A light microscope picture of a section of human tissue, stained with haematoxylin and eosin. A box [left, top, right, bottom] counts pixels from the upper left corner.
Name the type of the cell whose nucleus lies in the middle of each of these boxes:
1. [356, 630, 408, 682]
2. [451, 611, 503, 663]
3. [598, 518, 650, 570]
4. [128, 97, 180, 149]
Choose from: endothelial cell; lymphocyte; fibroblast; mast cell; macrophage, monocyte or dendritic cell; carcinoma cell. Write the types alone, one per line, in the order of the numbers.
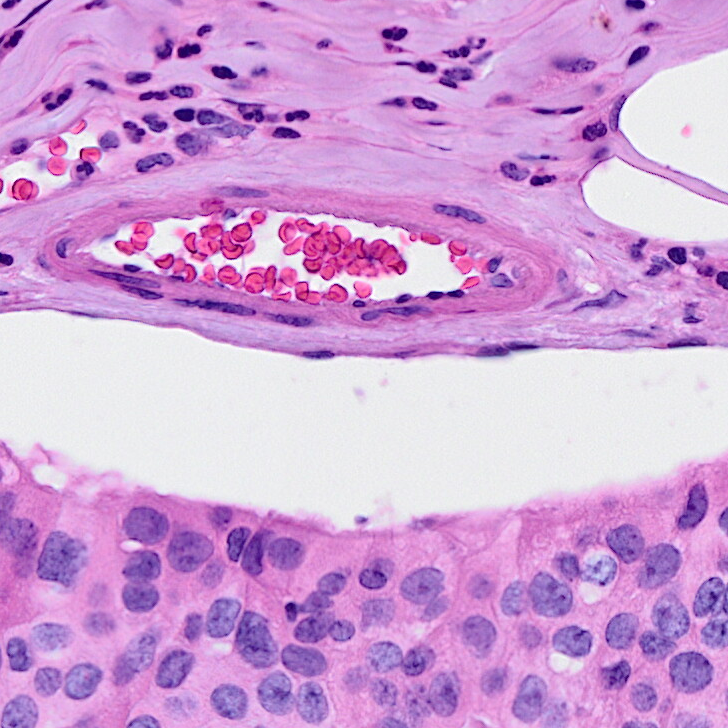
carcinoma cell
carcinoma cell
carcinoma cell
lymphocyte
